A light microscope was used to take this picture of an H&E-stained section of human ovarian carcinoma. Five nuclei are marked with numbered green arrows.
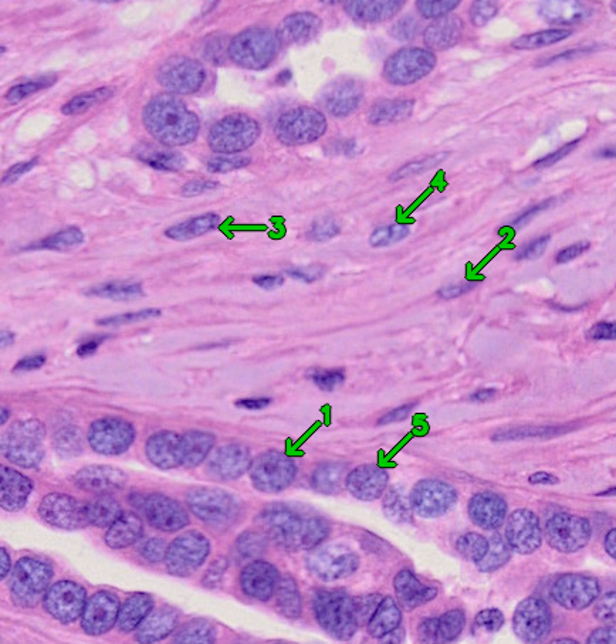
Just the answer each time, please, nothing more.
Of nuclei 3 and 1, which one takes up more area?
1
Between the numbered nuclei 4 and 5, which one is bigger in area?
5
